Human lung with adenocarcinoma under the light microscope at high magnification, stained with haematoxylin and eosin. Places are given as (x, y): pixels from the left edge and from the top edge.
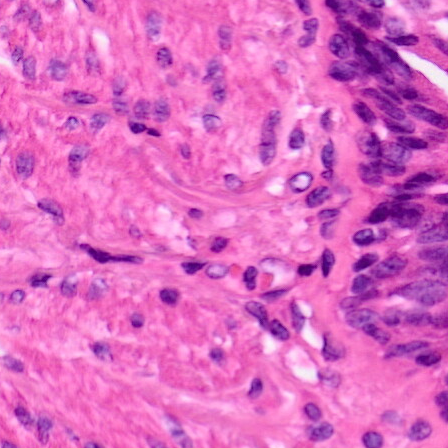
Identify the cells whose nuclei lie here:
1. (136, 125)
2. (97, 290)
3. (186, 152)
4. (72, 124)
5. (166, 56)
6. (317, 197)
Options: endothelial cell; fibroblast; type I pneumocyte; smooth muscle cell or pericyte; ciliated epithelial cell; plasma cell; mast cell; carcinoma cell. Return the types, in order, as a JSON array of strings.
["smooth muscle cell or pericyte", "smooth muscle cell or pericyte", "smooth muscle cell or pericyte", "smooth muscle cell or pericyte", "mast cell", "mast cell"]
